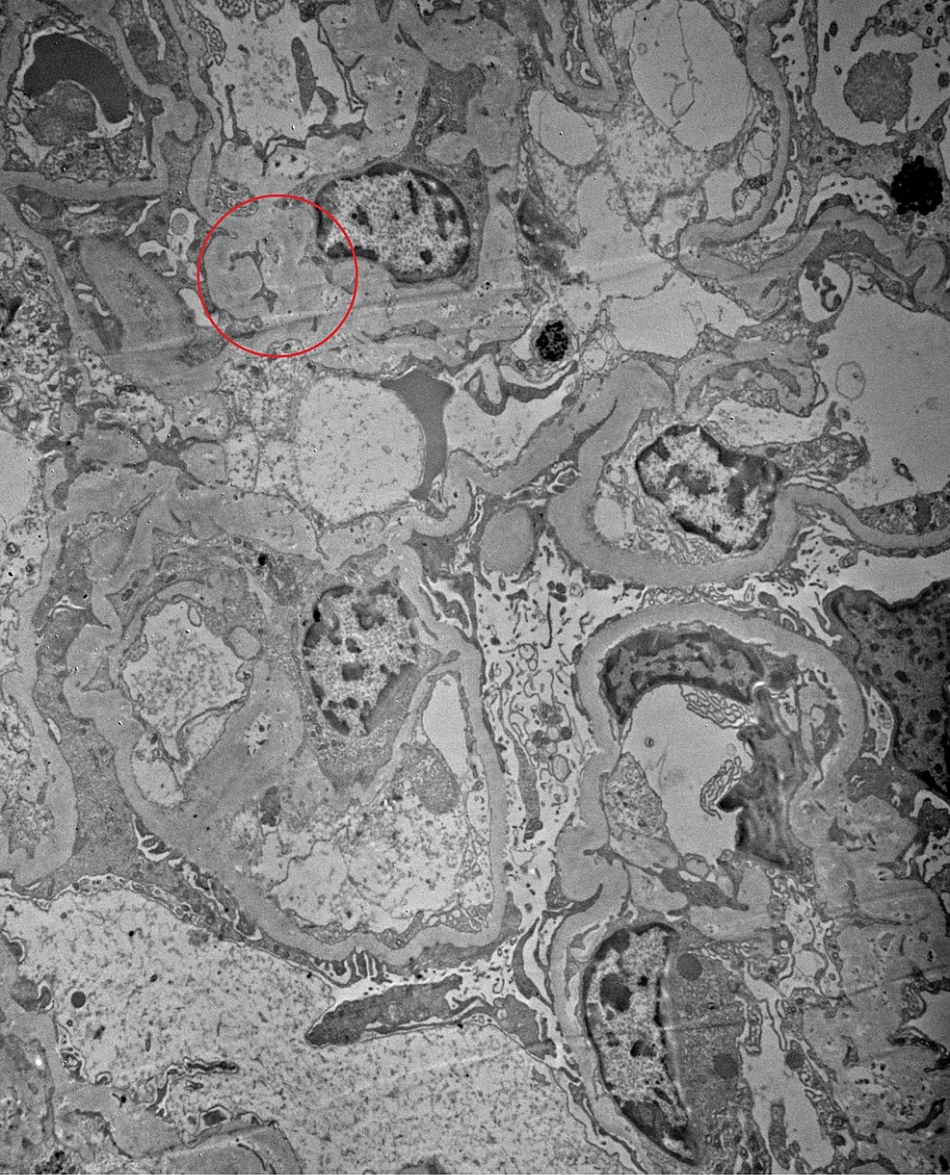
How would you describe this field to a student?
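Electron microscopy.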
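A glomerulus in transmission electron micrograph, with several capillary loops cut across. The capillary walls are formed by broad, homogeneous grey bands of basement membrane that look thickened and even, without layering or breaks. Between the loops lie areas of pale to mid-grey matrix holding cells whose nuclei are oval to irregular with clumped, dark chromatin along their edges. Some capillary lumina are open and pale; others hold cells or darker material. Cell processes with dark, irregular profiles line parts of the outer surfaces of the loops. A red circle has been drawn over a region of matrix containing small dark irregular material.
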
